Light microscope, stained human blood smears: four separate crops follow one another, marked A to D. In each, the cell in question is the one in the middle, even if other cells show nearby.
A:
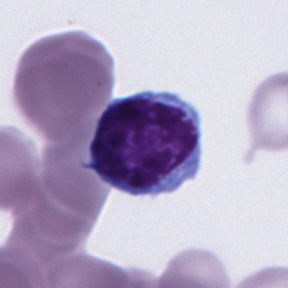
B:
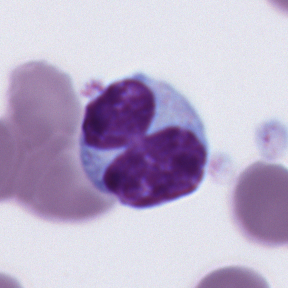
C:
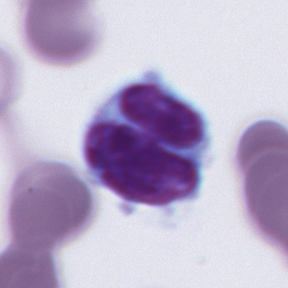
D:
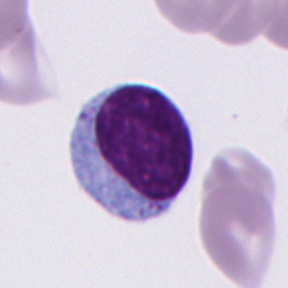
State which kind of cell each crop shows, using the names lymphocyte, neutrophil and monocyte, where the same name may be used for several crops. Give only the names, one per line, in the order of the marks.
lymphocyte
lymphocyte
lymphocyte
lymphocyte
